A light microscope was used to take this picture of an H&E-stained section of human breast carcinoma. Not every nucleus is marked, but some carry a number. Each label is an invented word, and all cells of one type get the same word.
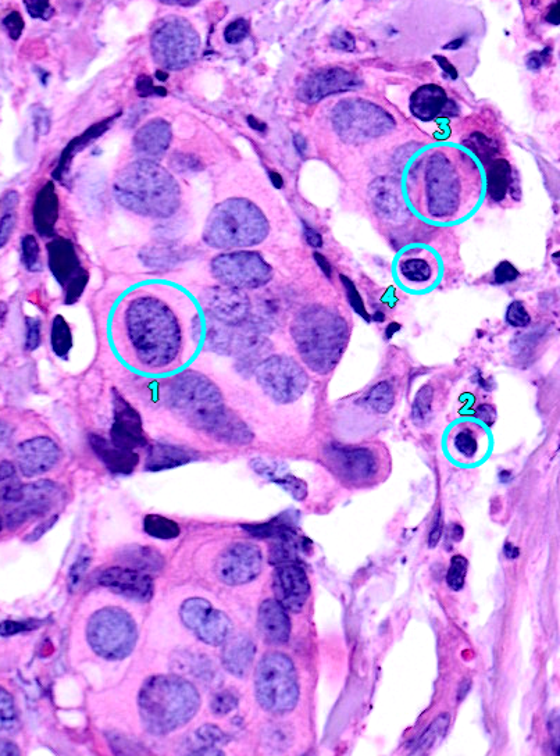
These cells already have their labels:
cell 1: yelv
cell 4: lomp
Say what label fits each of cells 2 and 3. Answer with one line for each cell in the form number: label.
2: lomp
3: yelv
